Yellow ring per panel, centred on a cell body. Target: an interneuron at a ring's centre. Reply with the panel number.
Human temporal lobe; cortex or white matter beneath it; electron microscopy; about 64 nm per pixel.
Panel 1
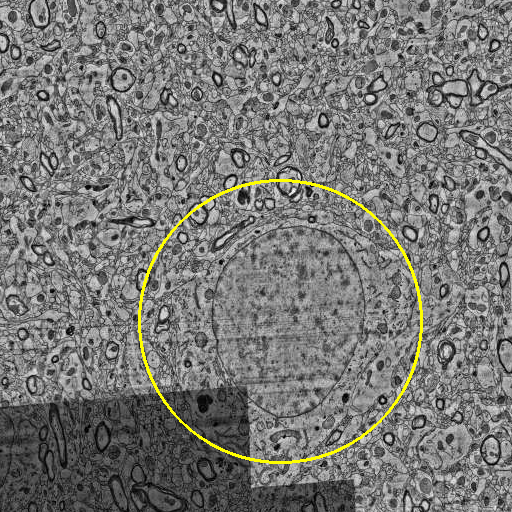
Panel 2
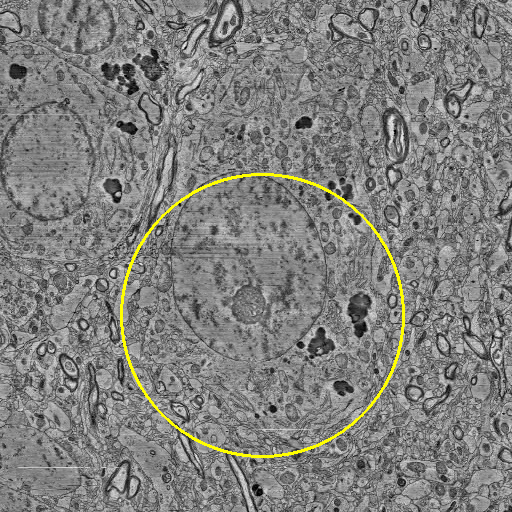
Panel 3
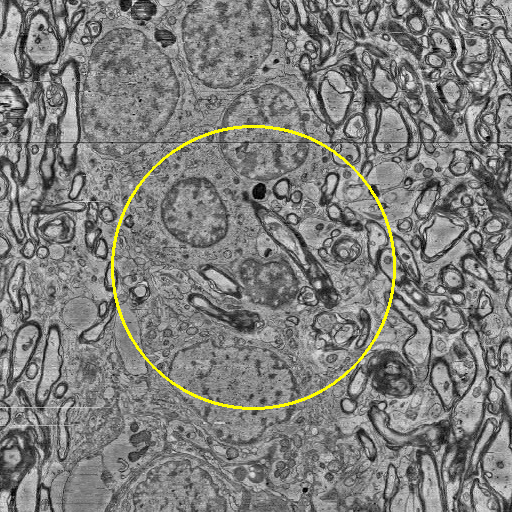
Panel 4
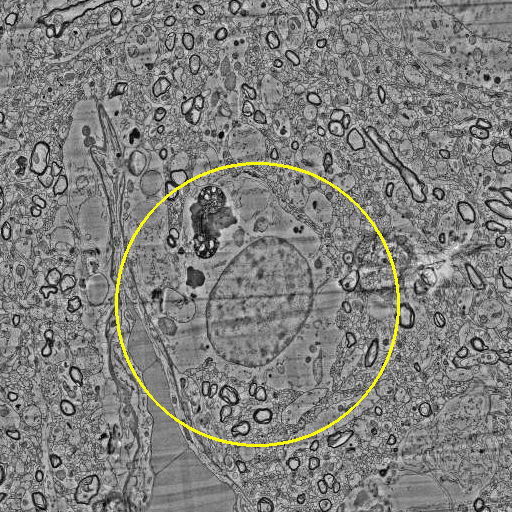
2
